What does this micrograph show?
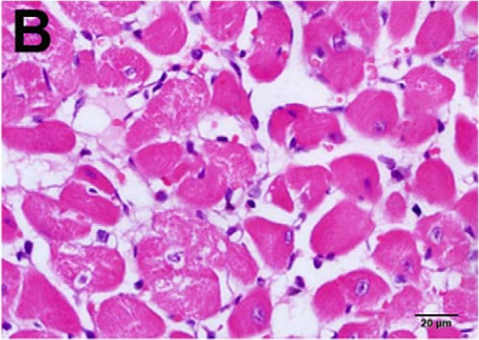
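Compared with a normal section at the same scale, the profiles here are noticeably broad and rounded, a picture of cardiomyocyte hypertrophy. White spaces and loose, pale connective tissue separate the cells, with small dark nuclei of interstitial cells scattered between them.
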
